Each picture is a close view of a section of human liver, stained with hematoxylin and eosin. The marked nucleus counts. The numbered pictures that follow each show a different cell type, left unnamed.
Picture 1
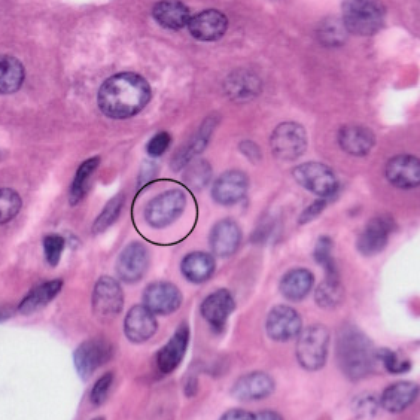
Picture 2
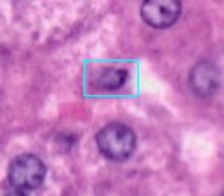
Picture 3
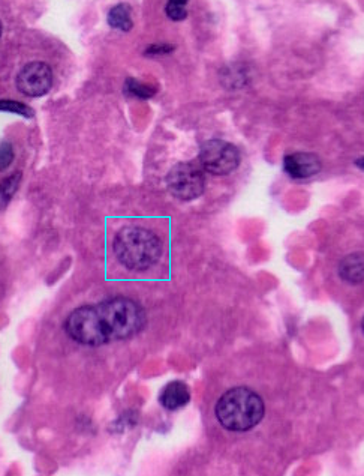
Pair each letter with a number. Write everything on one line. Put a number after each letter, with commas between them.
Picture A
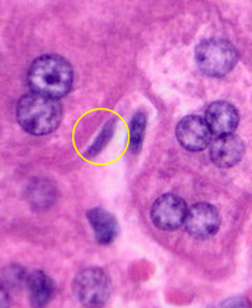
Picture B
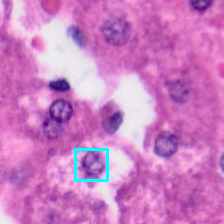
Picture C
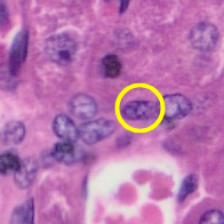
A 2, B 3, C 1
